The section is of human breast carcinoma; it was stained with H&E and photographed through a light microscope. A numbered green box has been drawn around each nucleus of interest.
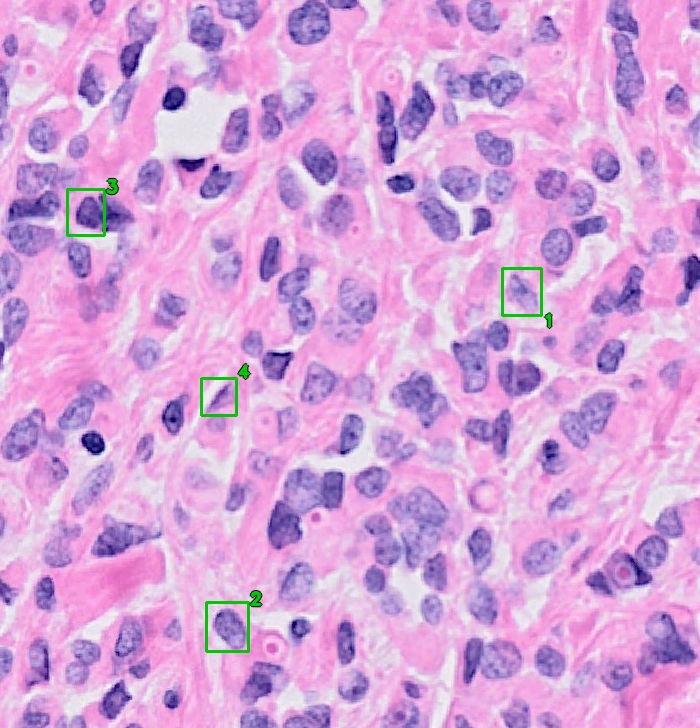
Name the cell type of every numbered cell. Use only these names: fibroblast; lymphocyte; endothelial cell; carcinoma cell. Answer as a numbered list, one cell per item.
1. fibroblast
2. carcinoma cell
3. carcinoma cell
4. fibroblast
